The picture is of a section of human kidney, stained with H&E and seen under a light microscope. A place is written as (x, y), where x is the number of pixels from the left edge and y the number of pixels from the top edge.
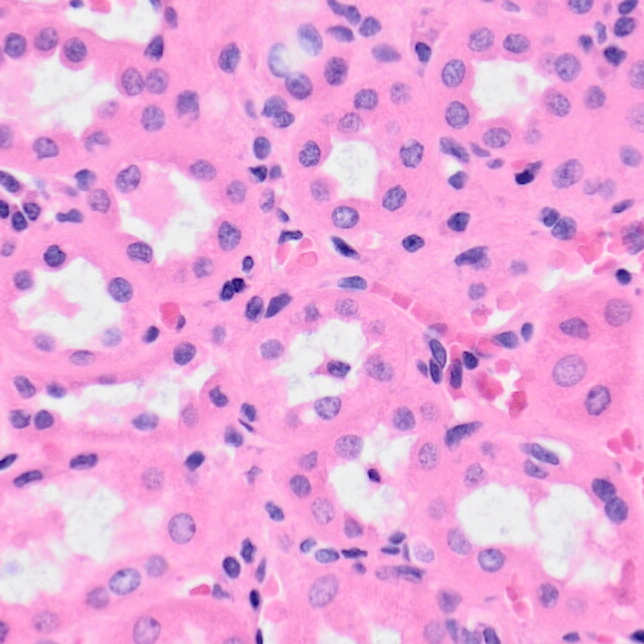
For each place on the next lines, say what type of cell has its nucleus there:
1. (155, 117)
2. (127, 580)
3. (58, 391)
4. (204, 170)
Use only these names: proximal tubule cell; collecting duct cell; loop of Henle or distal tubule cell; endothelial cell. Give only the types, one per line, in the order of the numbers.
loop of Henle or distal tubule cell
proximal tubule cell
loop of Henle or distal tubule cell
loop of Henle or distal tubule cell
